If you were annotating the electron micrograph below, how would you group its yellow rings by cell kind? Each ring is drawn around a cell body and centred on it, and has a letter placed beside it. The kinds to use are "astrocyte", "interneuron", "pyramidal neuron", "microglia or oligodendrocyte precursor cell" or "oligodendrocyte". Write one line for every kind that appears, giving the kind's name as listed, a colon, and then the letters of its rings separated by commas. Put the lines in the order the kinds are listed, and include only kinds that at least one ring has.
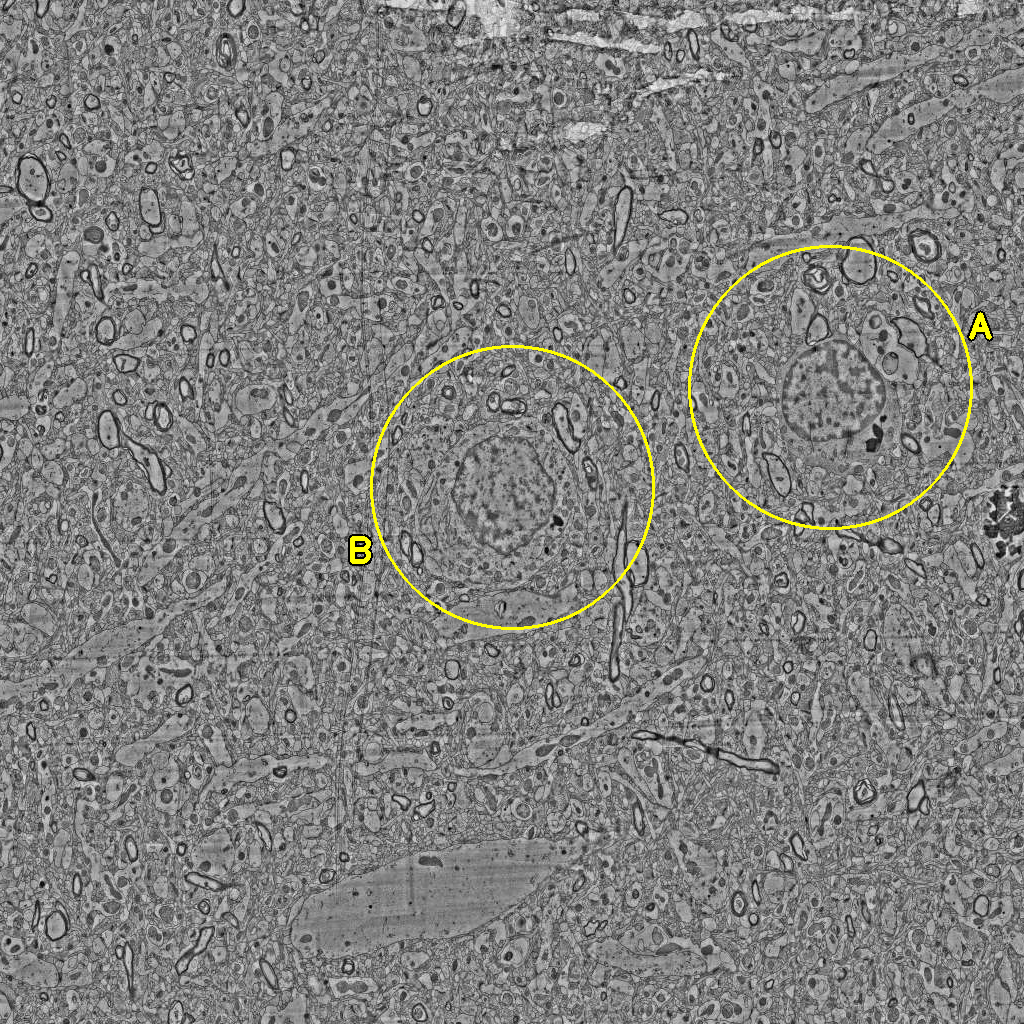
interneuron: B
oligodendrocyte: A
